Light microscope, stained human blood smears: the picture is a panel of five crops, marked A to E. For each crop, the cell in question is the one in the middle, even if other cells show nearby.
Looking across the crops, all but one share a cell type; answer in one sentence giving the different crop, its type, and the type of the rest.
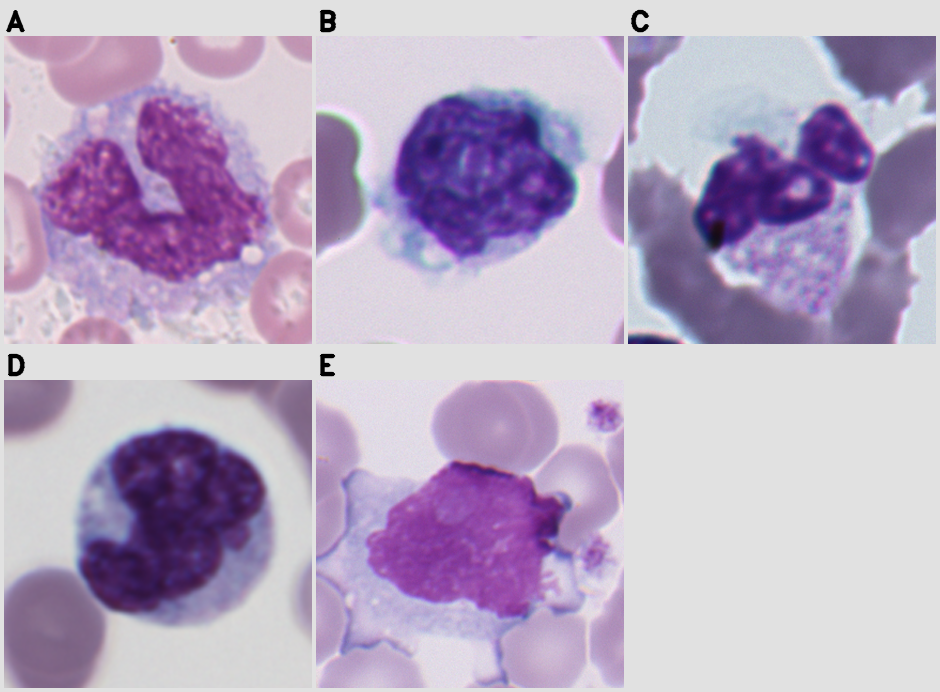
Crop C differs from its companions, showing a neutrophil where they show monocytes.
